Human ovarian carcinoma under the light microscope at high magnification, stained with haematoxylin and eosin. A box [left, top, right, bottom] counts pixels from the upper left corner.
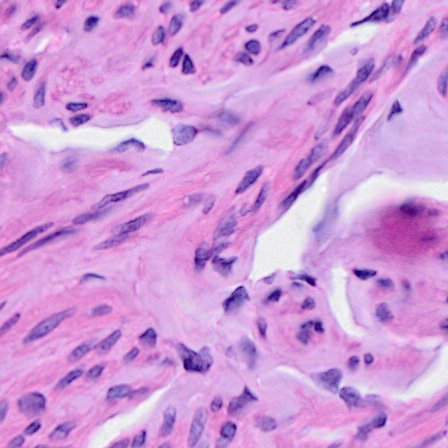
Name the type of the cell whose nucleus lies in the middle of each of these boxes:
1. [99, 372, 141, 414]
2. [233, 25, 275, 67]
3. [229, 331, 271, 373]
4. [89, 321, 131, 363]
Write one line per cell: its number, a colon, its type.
1: smooth muscle cell
2: smooth muscle cell
3: fibroblast
4: smooth muscle cell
